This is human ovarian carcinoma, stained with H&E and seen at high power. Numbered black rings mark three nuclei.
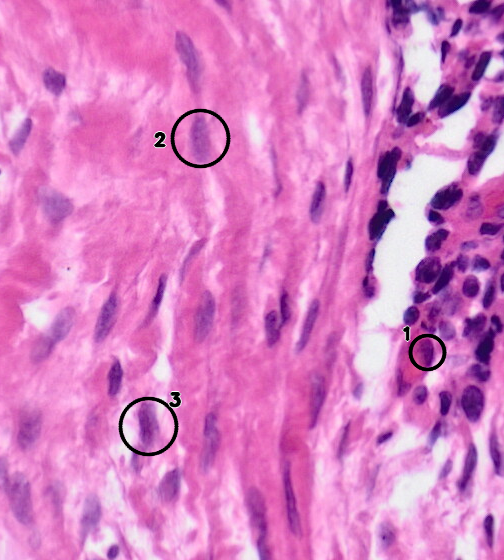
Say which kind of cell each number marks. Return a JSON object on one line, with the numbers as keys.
{"1": "endothelial cell", "2": "fibroblast", "3": "fibroblast"}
